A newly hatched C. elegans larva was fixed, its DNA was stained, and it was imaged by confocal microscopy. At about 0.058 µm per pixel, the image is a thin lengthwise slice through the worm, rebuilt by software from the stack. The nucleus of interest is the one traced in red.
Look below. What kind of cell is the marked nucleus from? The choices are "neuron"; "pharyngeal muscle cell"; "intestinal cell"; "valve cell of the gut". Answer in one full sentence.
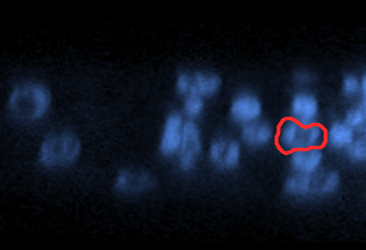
It belongs to a pharyngeal muscle cell.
